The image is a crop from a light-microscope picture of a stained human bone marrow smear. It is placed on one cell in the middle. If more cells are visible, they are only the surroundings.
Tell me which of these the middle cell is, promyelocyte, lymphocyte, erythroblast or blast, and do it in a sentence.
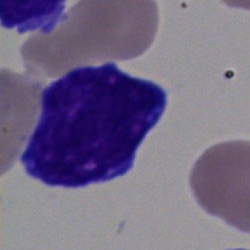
The cell centered in this field of view is a blast.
